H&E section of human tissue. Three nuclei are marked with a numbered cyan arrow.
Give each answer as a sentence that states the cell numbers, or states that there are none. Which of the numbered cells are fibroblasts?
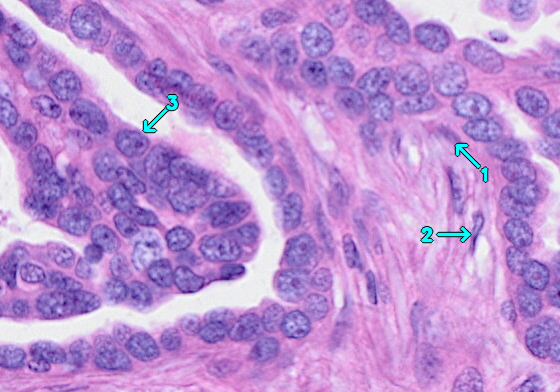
To be specific, the cells numbered 1 and 2 are fibroblasts.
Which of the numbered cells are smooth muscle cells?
With respect to the numbered cells, none are smooth muscle cells.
